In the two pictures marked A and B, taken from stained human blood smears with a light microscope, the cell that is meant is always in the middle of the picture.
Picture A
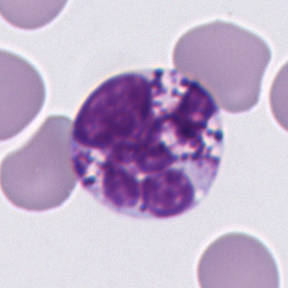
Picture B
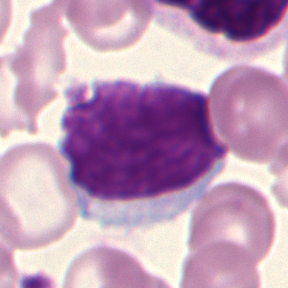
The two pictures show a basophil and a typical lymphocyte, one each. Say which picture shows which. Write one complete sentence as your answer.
The cell in picture A is a basophil, and the one in picture B is a typical lymphocyte.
